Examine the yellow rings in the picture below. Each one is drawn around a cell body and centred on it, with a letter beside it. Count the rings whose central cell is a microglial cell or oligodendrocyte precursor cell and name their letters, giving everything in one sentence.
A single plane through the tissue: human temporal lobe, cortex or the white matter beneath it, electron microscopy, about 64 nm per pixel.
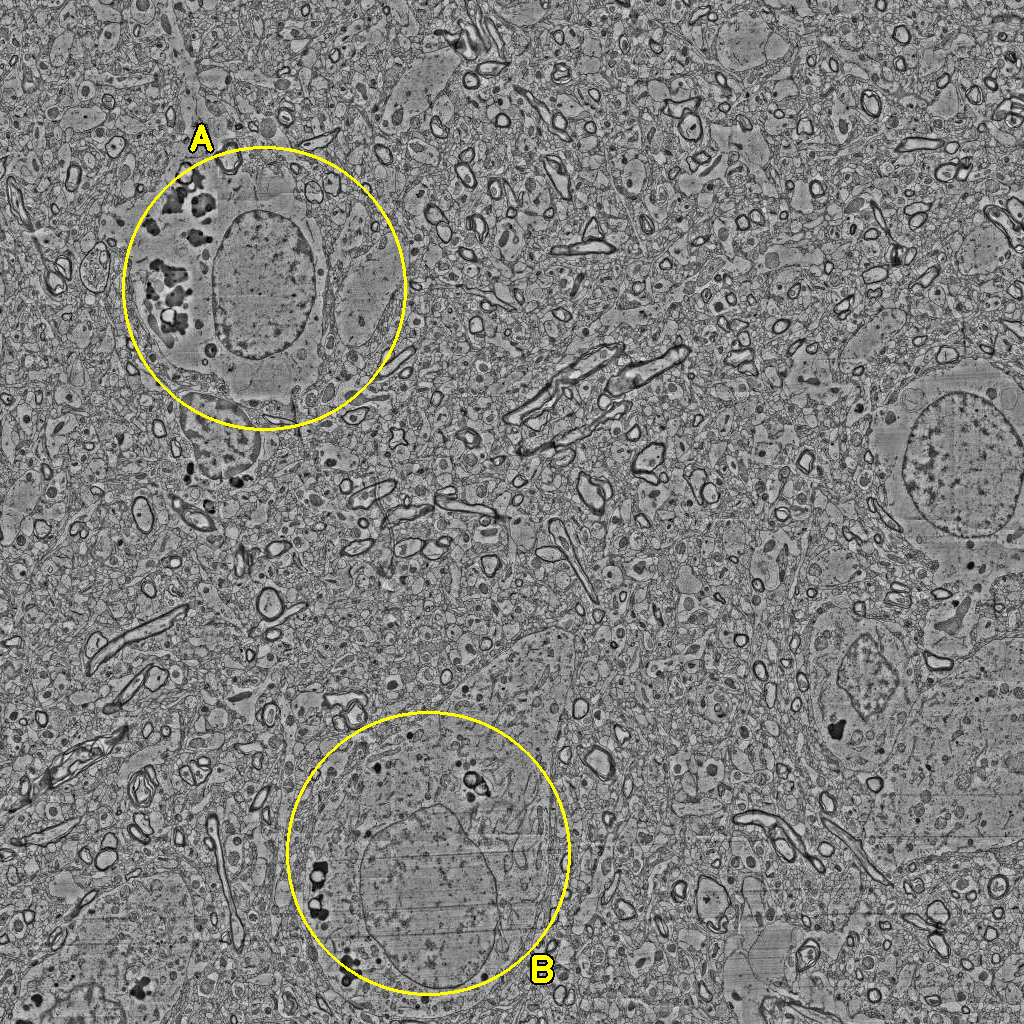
Of all the yellow rings, not a single one is centred on a microglial cell or oligodendrocyte precursor cell, so the number is zero.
